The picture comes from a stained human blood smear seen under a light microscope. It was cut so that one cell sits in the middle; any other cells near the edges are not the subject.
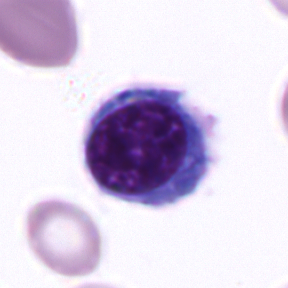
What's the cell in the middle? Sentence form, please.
Present in the middle of the crop is a plasma cell.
